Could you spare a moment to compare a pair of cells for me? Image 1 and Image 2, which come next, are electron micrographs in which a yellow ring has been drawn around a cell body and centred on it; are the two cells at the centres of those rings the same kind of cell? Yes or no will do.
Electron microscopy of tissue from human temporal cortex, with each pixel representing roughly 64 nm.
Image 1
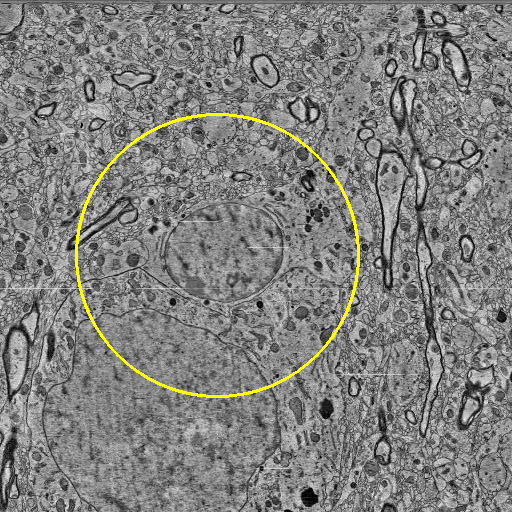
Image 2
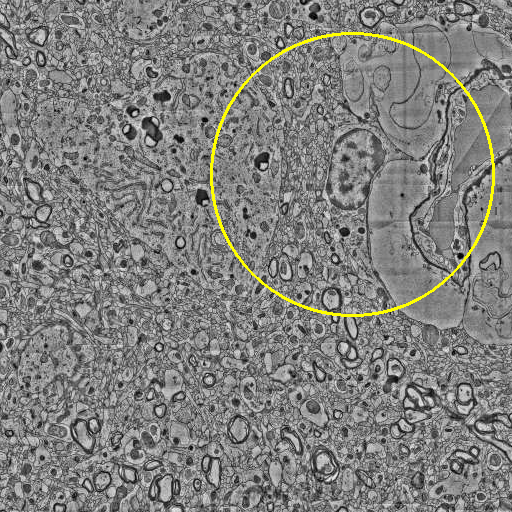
yes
